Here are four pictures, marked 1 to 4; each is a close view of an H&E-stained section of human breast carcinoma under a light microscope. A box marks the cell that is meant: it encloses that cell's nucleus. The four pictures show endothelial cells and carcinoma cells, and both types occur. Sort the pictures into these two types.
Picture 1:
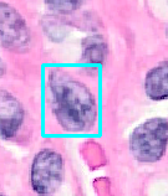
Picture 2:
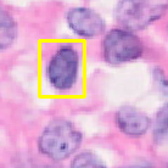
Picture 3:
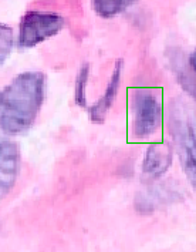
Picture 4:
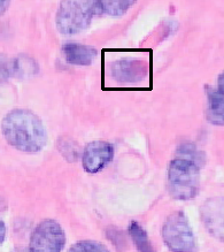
1: endothelial cell
2: carcinoma cell
3: endothelial cell
4: endothelial cell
